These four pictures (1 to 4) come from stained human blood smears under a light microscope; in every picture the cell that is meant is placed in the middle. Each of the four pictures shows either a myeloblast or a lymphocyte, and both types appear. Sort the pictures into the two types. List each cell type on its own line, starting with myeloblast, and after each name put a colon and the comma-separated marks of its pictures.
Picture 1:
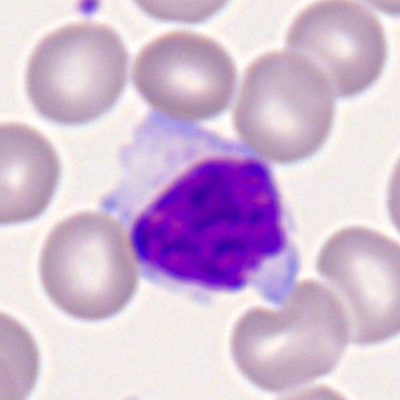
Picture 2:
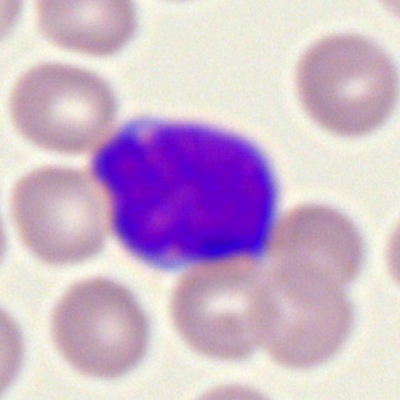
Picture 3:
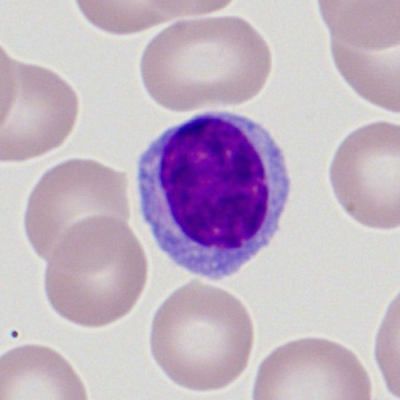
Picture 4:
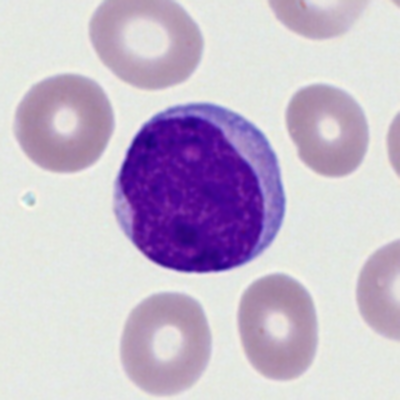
myeloblast: 2, 4
lymphocyte: 1, 3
